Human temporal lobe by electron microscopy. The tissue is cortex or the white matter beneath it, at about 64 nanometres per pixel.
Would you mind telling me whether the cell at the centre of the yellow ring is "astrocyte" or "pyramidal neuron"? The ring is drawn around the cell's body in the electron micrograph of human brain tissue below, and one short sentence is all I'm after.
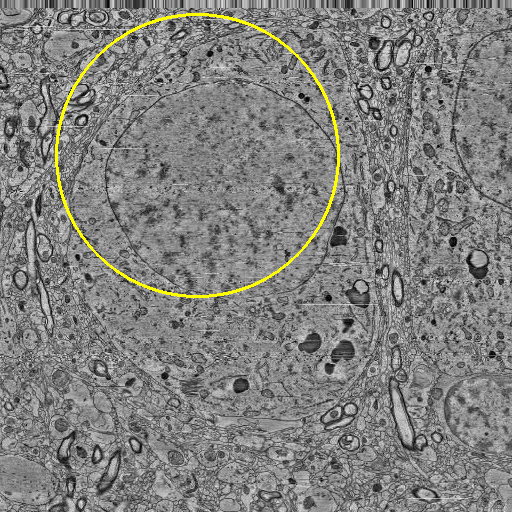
In the centre of the ring lies a pyramidal neuron.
